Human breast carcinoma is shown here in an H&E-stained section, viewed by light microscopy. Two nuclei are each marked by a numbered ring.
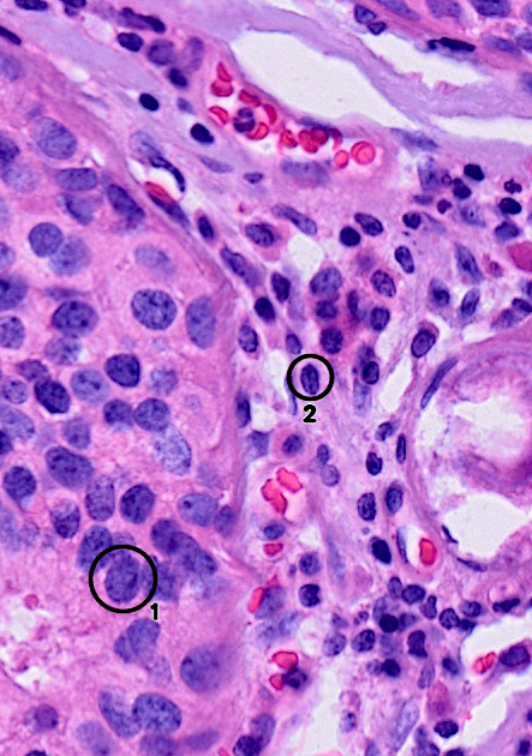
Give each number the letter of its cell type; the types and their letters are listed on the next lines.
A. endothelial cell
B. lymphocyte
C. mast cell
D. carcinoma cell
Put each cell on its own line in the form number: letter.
1: D
2: B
